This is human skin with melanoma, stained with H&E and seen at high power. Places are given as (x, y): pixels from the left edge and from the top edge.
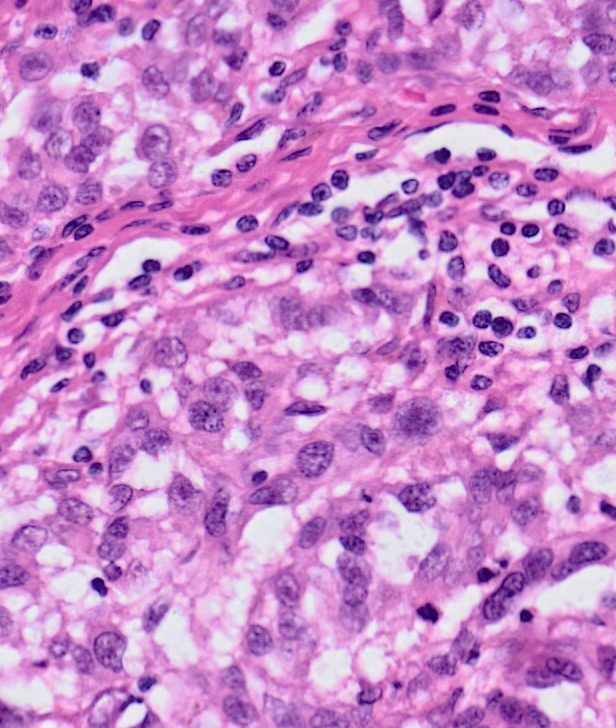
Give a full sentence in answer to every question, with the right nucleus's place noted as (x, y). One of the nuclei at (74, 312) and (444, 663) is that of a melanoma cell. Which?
The nucleus positioned at (444, 663) forms part of a melanoma cell.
